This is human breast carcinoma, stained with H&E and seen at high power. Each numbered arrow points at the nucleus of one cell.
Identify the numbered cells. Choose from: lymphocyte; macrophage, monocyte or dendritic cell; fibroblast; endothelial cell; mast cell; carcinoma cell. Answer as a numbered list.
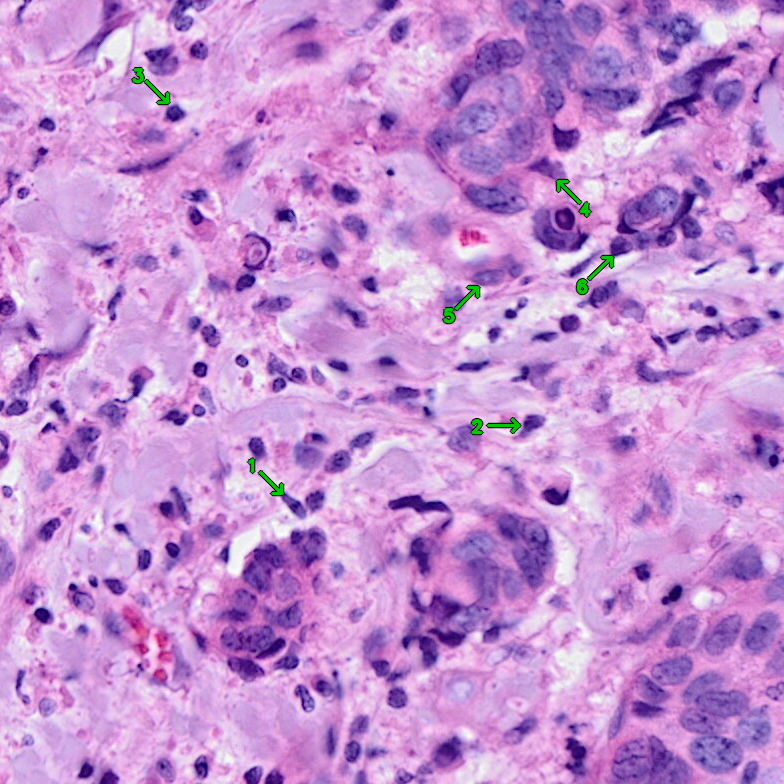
1. lymphocyte
2. lymphocyte
3. lymphocyte
4. carcinoma cell
5. endothelial cell
6. lymphocyte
